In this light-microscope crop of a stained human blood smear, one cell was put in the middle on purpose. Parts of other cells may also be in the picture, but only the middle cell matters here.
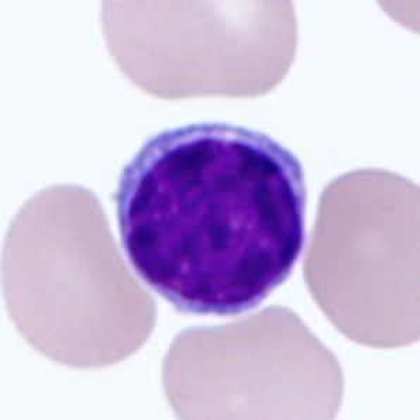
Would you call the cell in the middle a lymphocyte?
yes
